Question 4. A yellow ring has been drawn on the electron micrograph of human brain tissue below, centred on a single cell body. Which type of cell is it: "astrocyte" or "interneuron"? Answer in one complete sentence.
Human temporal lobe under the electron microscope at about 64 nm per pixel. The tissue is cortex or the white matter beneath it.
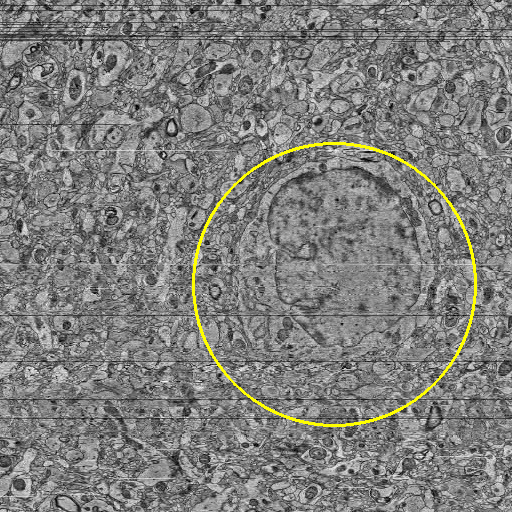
This cell body belongs to an interneuron.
